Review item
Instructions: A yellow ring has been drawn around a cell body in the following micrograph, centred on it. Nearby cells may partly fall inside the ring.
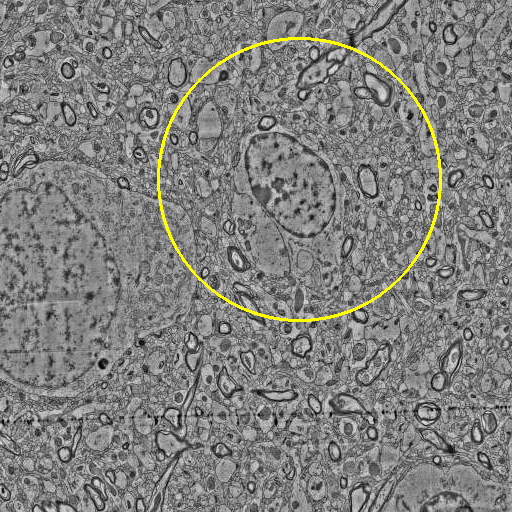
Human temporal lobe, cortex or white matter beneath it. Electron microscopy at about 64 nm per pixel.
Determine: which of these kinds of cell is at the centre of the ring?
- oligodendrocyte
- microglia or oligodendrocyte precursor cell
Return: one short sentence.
The cell body in the middle of the ring is that of a microglial cell or oligodendrocyte precursor cell.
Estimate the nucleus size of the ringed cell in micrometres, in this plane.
In this plane the nucleus measures roughly 7 by 5 micrometers.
